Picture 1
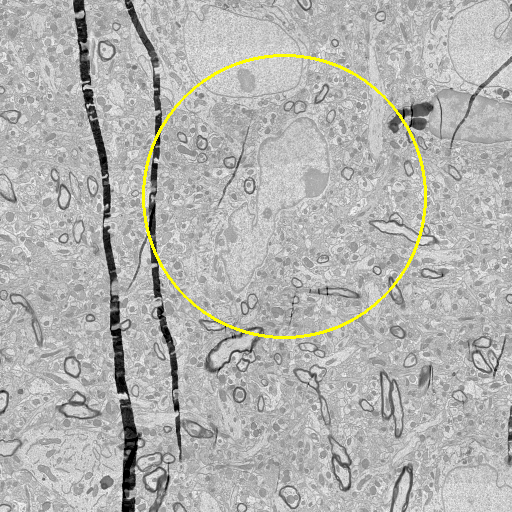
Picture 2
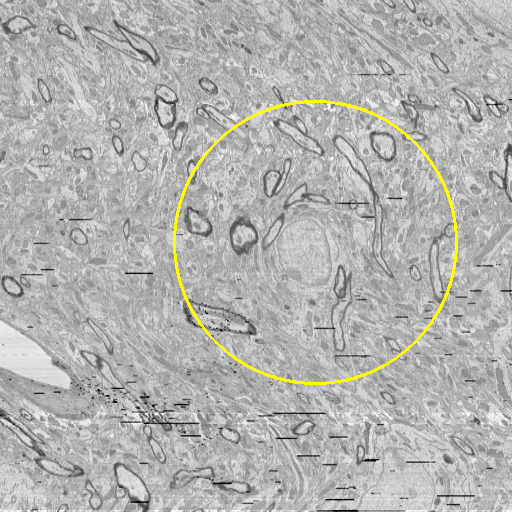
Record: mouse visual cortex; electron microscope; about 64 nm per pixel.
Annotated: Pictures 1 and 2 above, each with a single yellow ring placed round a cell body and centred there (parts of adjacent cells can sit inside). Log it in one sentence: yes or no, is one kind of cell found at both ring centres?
Yes, the ring centres of the two pictures hold cells of one kind.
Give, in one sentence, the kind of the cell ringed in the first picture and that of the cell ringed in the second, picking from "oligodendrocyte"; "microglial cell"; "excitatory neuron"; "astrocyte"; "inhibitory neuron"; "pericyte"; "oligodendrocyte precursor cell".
Both rings mark an oligodendrocyte precursor cell, one in each picture.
